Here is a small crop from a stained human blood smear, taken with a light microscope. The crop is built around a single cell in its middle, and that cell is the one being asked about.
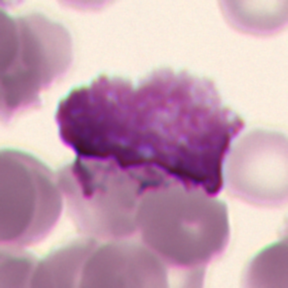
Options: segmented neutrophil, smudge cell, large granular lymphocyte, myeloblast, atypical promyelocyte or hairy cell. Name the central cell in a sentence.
The cell found in the middle of this crop is a smudge cell.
